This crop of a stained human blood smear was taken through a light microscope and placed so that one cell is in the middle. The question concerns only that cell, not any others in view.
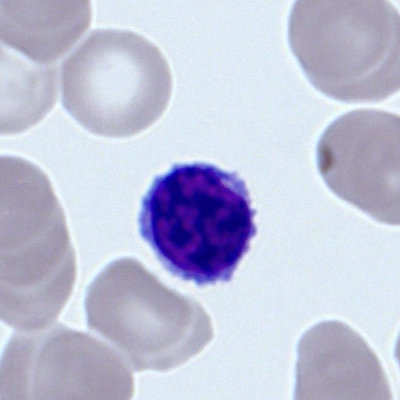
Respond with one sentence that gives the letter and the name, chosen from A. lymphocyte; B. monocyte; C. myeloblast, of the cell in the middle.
Option A is to be chosen, as the central cell is a lymphocyte.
